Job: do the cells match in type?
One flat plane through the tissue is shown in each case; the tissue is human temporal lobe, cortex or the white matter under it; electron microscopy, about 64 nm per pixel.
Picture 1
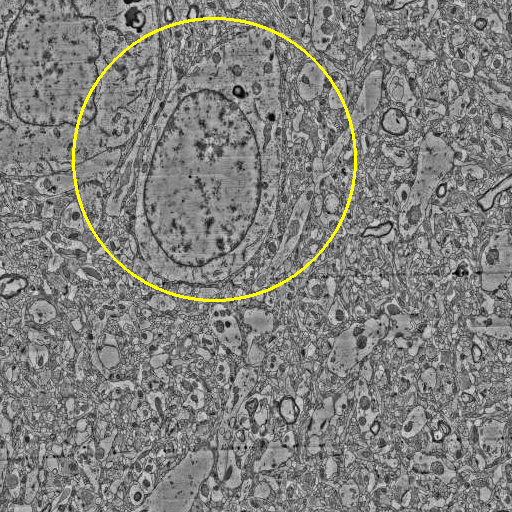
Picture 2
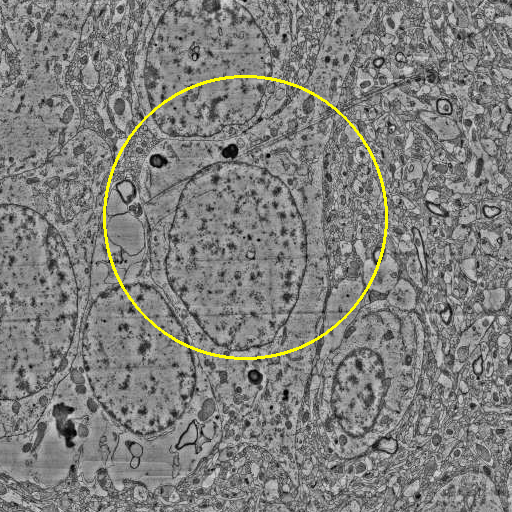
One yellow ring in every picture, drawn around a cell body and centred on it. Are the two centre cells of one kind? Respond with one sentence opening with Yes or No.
Yes, the ringed cells in the two pictures are of one and the same kind.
